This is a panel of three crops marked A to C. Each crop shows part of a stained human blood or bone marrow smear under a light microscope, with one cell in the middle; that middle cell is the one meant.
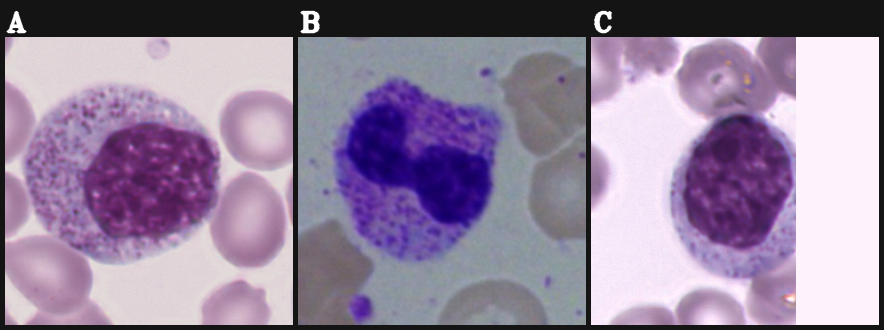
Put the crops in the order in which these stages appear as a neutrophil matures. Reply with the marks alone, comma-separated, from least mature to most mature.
A, C, B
